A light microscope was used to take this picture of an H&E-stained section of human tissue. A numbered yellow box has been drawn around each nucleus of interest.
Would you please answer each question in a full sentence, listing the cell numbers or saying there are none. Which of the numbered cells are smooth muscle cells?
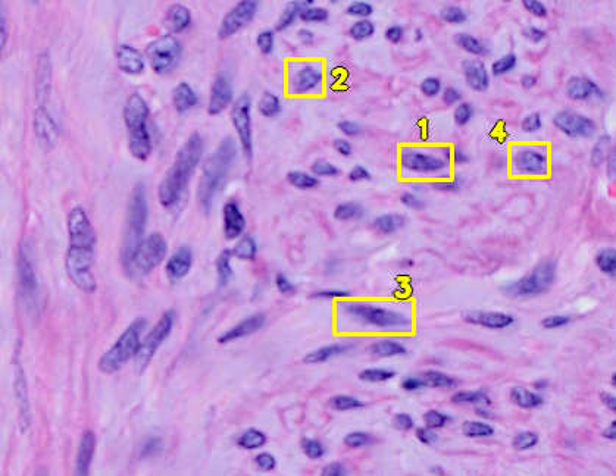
Cells numbered 1, 2 and 4 belong to the group of smooth muscle cells.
